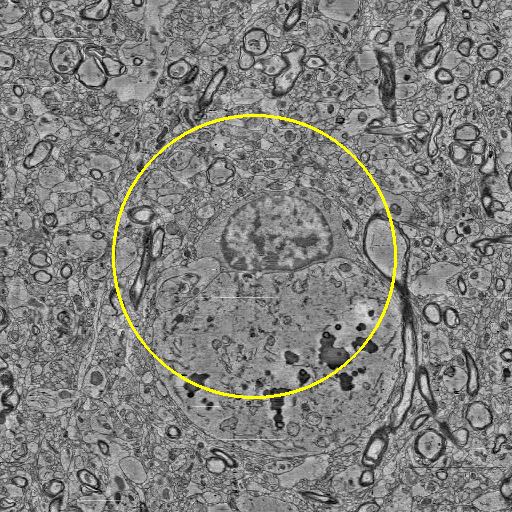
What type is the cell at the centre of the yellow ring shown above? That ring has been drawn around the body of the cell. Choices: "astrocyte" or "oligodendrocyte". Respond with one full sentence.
My answer is that an oligodendrocyte lies at the centre of the yellow ring above.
